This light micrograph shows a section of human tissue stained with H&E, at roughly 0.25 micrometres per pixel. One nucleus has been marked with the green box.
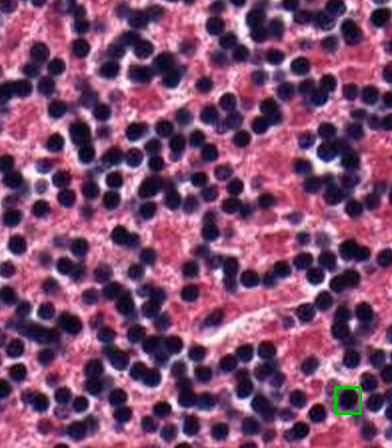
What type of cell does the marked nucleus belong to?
cerebellar granule cell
